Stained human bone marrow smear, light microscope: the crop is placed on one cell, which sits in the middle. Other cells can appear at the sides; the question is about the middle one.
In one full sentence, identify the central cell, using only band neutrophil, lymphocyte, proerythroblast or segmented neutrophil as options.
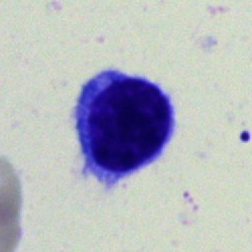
The cell at the middle of the frame should be recorded as a lymphocyte.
